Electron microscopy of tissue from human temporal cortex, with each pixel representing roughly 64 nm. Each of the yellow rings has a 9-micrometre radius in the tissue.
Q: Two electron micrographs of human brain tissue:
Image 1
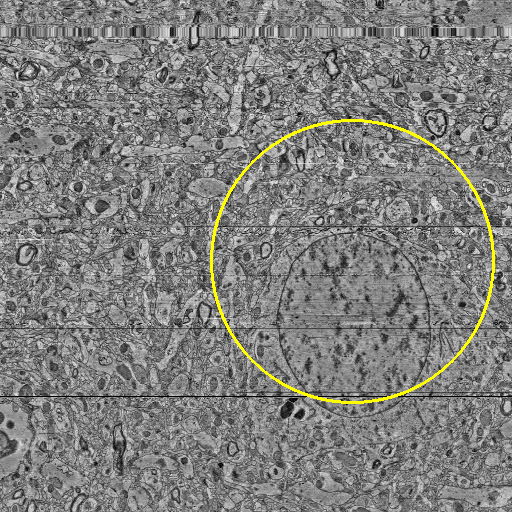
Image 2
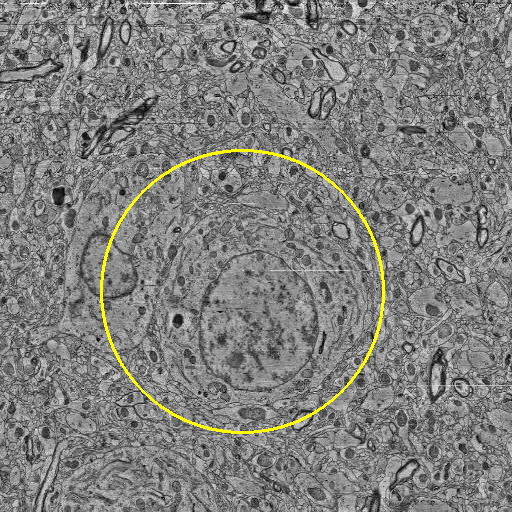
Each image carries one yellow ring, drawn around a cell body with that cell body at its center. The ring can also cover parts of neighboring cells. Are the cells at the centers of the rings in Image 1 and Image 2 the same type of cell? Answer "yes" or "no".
no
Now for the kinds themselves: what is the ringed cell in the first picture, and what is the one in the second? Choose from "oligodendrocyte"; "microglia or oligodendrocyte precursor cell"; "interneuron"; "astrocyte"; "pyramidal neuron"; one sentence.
Here the first cell is a pyramidal neuron and the second cell is an interneuron.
